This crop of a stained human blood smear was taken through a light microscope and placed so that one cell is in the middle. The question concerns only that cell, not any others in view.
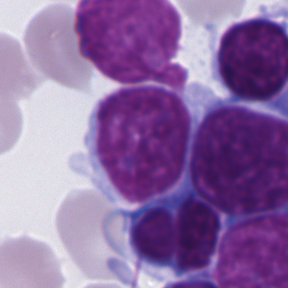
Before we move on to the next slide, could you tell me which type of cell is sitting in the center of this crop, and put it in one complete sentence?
The cell that lies at the centre of the crop is a myeloblast.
